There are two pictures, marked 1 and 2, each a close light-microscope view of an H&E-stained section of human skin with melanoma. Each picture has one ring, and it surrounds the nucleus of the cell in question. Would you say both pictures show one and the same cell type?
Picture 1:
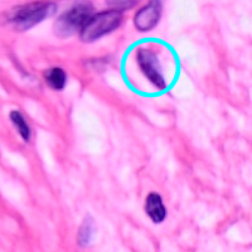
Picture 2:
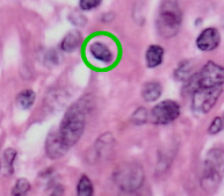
no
